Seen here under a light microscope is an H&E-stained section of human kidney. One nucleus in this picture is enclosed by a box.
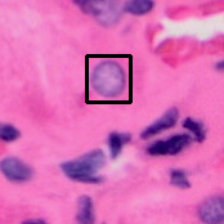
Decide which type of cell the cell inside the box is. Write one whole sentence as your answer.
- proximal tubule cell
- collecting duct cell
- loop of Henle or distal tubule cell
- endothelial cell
By cell type, the cell inside the box is a proximal tubule cell.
